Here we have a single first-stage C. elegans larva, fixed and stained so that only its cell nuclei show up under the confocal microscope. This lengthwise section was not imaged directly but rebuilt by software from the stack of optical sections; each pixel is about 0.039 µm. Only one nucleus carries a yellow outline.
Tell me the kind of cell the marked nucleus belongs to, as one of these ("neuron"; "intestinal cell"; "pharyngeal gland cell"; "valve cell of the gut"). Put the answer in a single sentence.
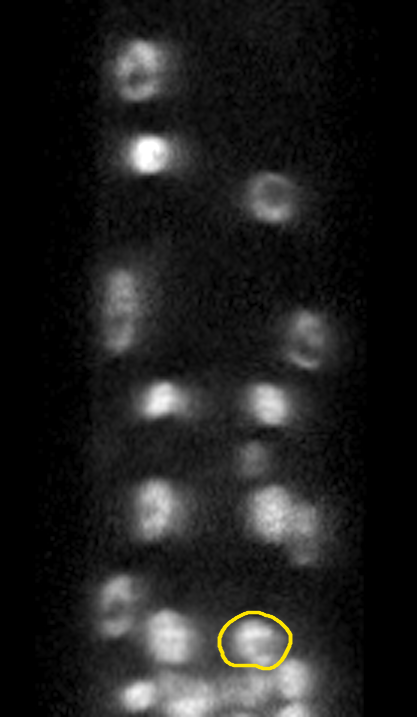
The nucleus comes from a pharyngeal gland cell.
